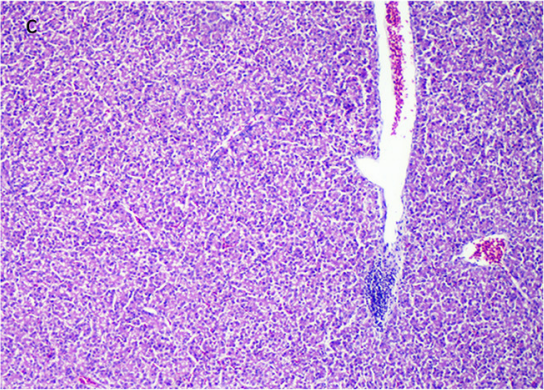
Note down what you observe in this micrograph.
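Liver parenchyma of hepatocytes arranged in pink cords separated by narrow sinusoidal spaces, crossed by an elongated blood vessel containing red blood cells. At the lower end of this vessel lies a dense cluster of small, dark purple nuclei of inflammatory cells; a second small vessel with red blood cells lies to the right.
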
